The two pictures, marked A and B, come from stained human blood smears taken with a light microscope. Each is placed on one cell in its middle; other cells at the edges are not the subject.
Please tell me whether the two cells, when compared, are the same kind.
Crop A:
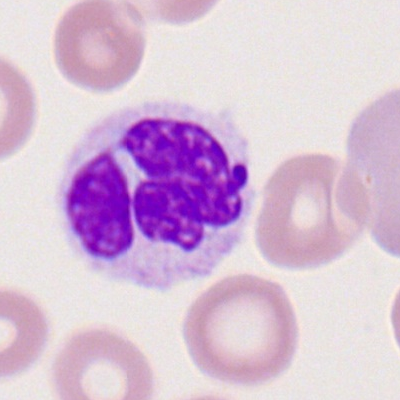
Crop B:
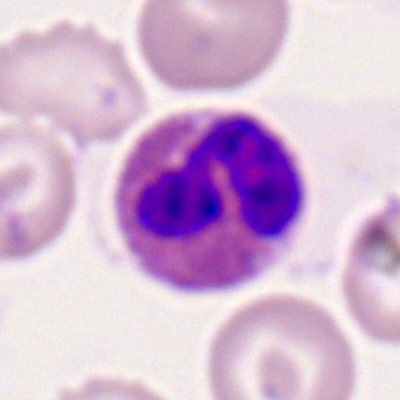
no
